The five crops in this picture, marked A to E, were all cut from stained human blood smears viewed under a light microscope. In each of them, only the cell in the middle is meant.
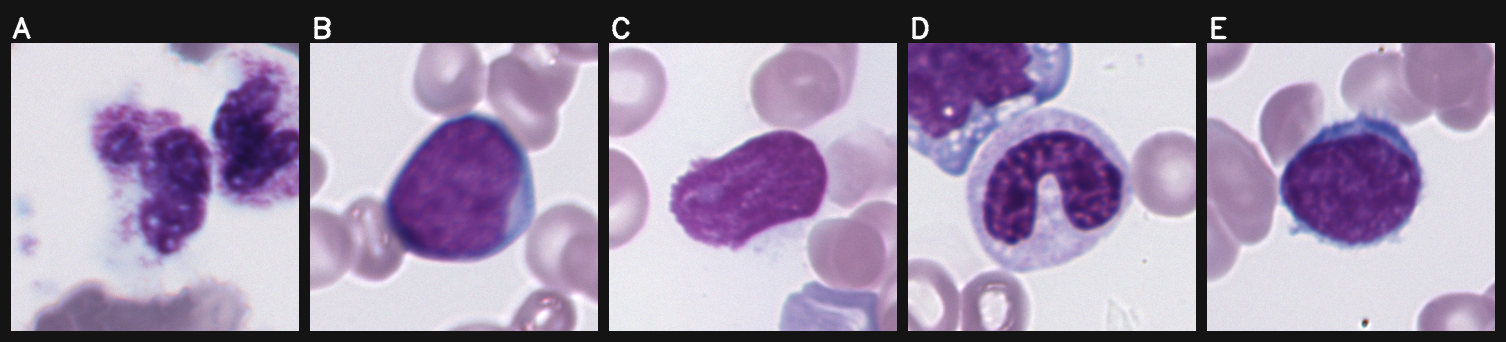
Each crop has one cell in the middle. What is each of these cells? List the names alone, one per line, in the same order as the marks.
segmented neutrophil
myeloblast
smudge cell
band neutrophil
typical lymphocyte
